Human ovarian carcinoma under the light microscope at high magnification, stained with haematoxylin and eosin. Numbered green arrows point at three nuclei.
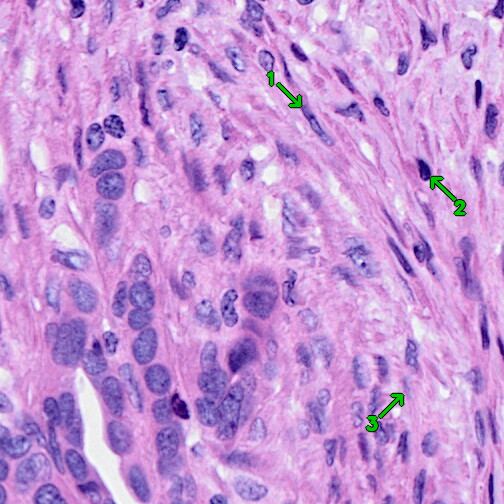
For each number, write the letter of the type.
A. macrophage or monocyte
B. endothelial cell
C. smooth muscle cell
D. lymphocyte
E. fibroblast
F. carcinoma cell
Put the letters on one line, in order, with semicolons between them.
E; D; E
